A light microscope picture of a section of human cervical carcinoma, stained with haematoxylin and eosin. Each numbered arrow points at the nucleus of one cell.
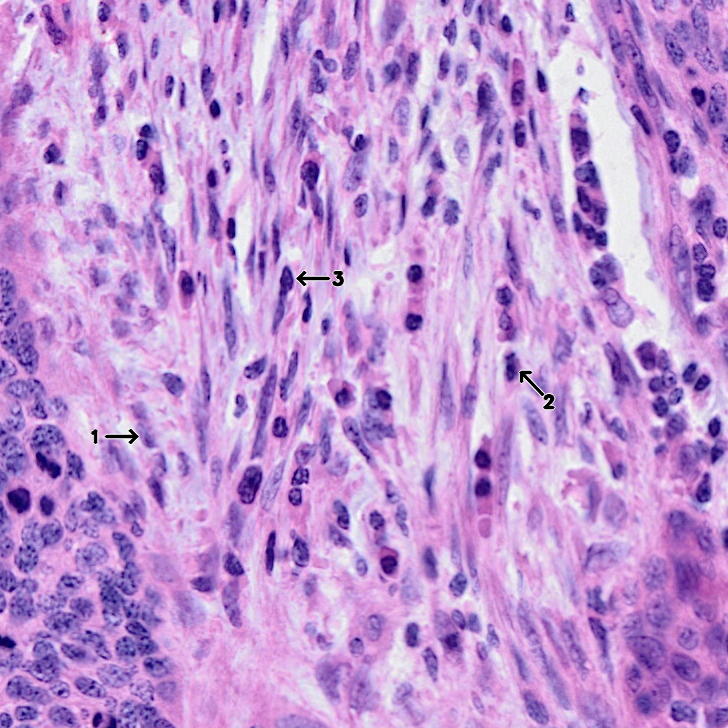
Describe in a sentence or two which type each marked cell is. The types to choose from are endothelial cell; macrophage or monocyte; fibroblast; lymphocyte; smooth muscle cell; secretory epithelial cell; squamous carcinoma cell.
Cell 1 is a fibroblast, cell 2 is a lymphocyte and cell 3 is a lymphocyte.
